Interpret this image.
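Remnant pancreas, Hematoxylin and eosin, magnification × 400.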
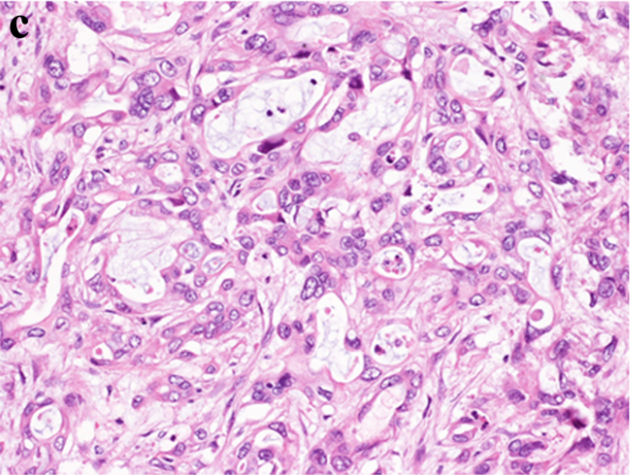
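Many small, irregular glands and tubules lie crowded together. They are lined by a single layer of cuboidal to low columnar cells whose nuclei are enlarged, oval and vesicular, vary in size, and sometimes show small nucleoli. Several lumens hold pale bluish, wispy material, and some contain scattered cell debris. Between the glands runs a pale pink fibrous stroma. No orderly lobules of normal acinar tissue are seen; the glands appear to infiltrate haphazardly through the stroma.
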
